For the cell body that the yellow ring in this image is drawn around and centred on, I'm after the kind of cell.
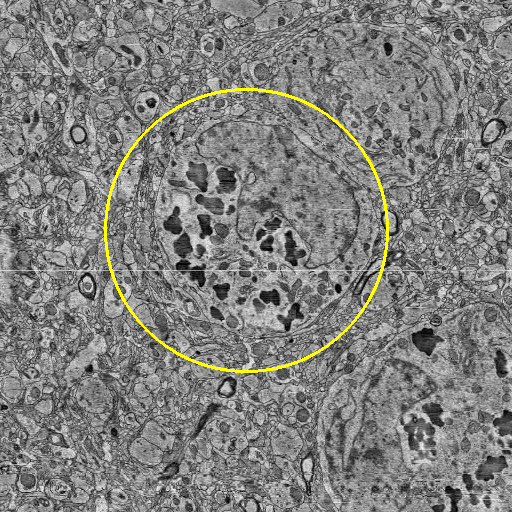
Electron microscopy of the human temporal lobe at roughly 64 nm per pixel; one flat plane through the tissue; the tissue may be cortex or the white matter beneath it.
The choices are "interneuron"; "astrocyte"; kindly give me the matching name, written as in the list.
interneuron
